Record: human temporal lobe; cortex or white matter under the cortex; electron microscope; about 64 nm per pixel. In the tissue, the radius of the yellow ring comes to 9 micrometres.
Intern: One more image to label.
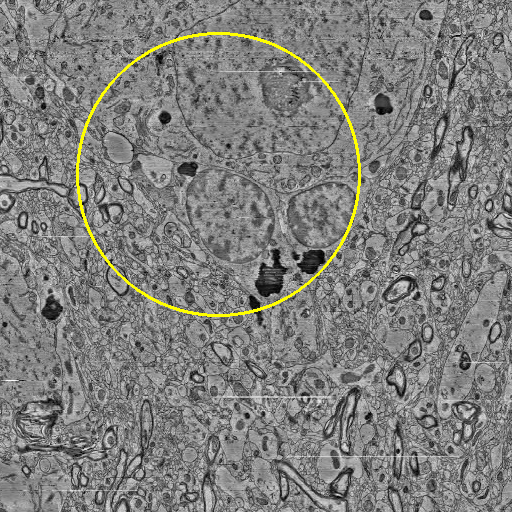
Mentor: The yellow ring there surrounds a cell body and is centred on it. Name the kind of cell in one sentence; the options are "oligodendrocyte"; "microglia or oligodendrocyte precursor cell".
The ring marks the cell body of an oligodendrocyte.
